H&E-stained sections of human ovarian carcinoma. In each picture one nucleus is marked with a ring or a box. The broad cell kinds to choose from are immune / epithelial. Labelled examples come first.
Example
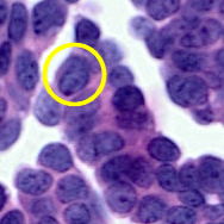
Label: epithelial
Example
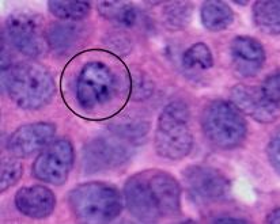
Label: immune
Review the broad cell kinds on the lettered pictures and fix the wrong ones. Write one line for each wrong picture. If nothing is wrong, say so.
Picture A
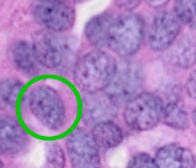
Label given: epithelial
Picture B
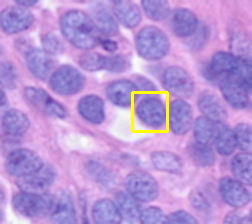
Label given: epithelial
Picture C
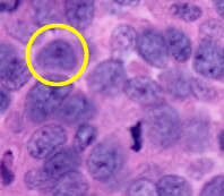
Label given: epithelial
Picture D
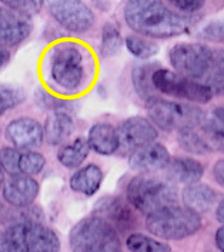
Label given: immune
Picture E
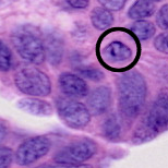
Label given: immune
Every label is right.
